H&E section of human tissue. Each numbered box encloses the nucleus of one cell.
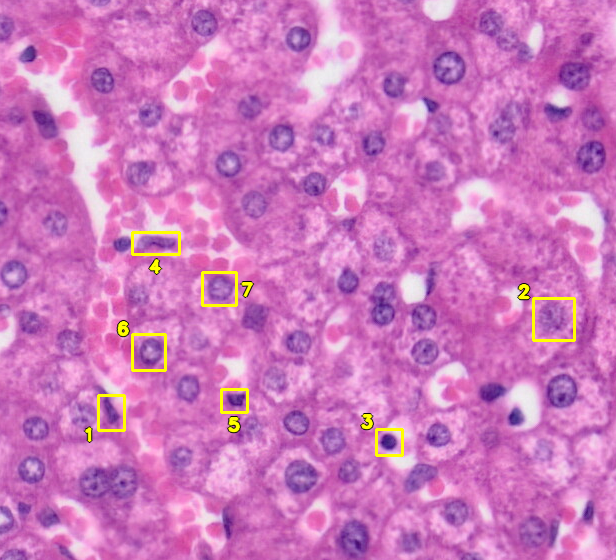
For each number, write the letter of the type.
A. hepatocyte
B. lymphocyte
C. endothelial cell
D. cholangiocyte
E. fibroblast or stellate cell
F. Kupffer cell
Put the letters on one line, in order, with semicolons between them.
E; A; B; F; E; A; A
